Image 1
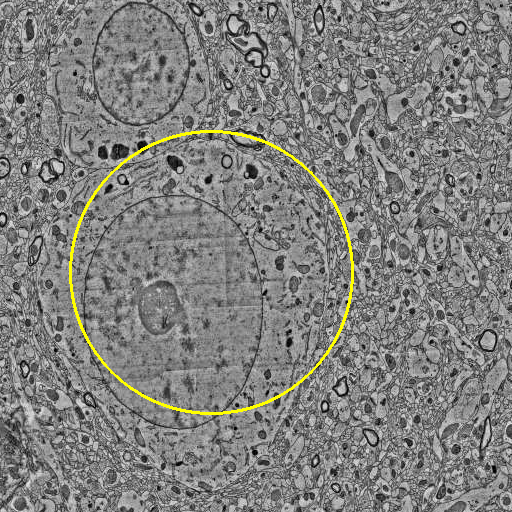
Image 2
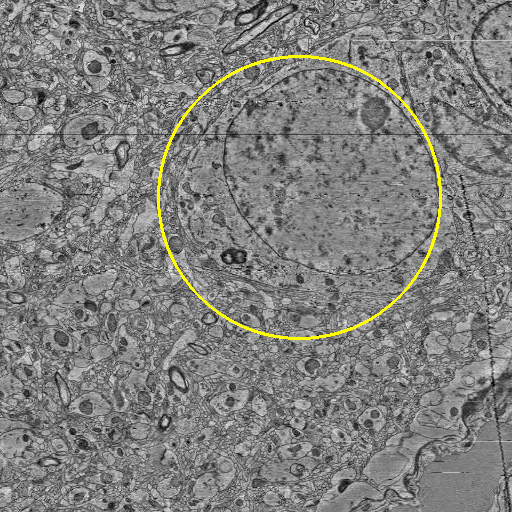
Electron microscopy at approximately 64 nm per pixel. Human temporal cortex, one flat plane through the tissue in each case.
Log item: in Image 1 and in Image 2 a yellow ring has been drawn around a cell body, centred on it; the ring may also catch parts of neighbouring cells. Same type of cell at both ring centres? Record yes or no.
yes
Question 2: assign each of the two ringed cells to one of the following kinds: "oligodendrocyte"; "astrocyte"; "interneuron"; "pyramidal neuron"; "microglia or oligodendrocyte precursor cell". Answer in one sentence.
Both the first and the second picture show a pyramidal neuron in the ring.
